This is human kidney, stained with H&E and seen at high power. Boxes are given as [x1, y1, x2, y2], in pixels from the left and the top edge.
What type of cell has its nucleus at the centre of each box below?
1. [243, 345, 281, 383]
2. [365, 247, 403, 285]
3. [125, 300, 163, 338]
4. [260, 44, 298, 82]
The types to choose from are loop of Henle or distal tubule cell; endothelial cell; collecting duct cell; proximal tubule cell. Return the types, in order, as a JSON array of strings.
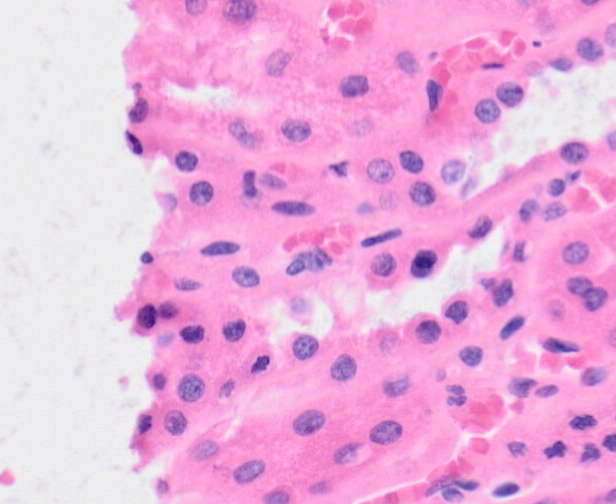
["loop of Henle or distal tubule cell", "loop of Henle or distal tubule cell", "loop of Henle or distal tubule cell", "proximal tubule cell"]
